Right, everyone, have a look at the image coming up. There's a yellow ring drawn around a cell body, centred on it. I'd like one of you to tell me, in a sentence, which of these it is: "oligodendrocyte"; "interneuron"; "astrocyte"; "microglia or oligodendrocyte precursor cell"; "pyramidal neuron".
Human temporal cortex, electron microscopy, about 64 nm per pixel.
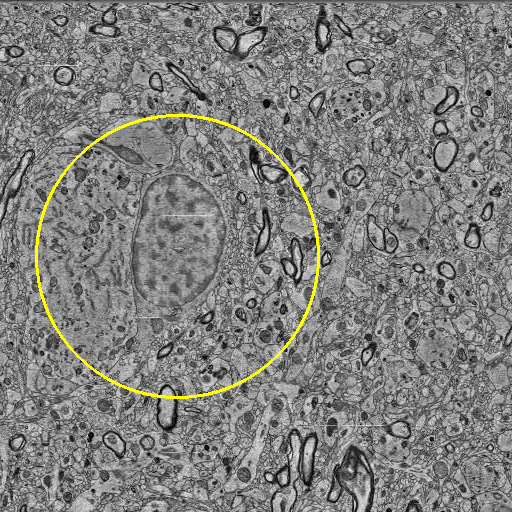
The yellow ring sits on an oligodendrocyte.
